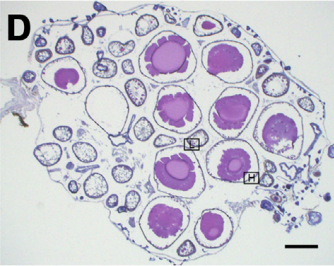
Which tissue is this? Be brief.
Ovaries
